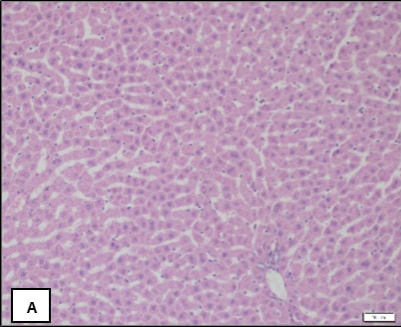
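Liver parenchyma with polygonal hepatocytes arranged in regular cords radiating through the field, separated by narrow, clear sinusoids. The hepatocytes have evenly pink cytoplasm and central, round, pale-blue nuclei. The sinusoids are open and mostly empty, containing few red blood cells. No clear spaces in the cytoplasm and no areas of cell loss are seen; the tissue has an orderly, uniform appearance.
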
